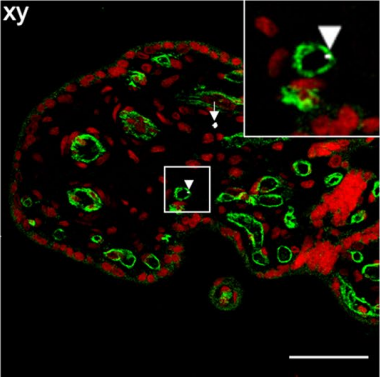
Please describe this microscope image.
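Here we look at a cross-section of a placental villus, its edge rimmed by a closely packed row of red nuclei along the surface. Inside, the loose stroma holds scattered red, oval nuclei, and among them lie many small green rings and loops: these are the walls of tiny vessels, each ring lined by endothelial cells around an empty-looking dark lumen. The vessels vary in size and some sit near the surface, others deeper in the core. In the boxed ring, a tiny bright white dot sits against the green wall, and the enlarged inset shows it more clearly.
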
